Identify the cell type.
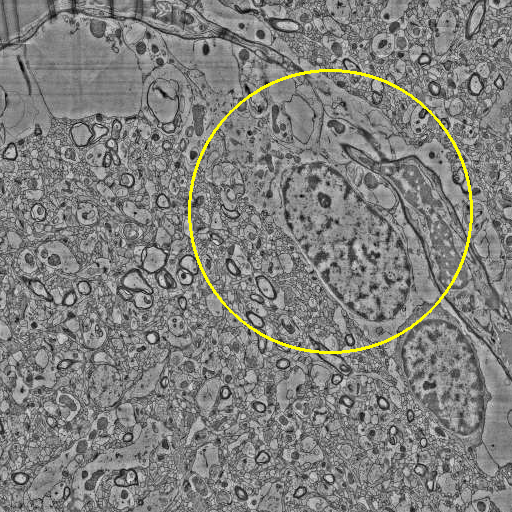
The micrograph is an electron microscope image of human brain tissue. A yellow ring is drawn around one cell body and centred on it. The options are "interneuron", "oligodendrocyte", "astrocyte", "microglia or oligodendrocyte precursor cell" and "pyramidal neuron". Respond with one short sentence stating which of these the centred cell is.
The cell body in the ring belongs to a microglial cell or oligodendrocyte precursor cell.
